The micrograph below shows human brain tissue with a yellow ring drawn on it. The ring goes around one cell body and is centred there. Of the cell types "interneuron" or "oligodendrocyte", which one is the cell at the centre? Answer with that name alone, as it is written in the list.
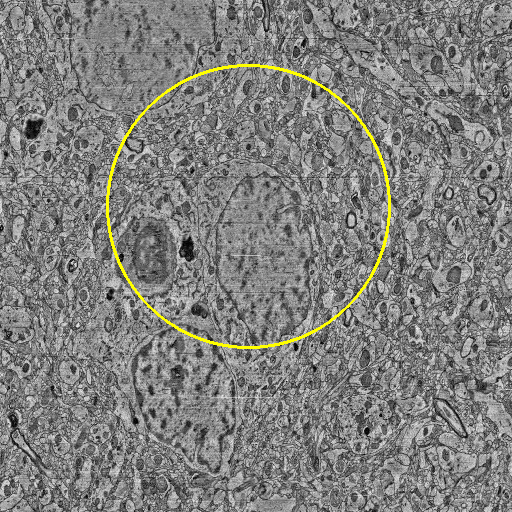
interneuron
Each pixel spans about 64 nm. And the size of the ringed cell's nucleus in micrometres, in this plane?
About 11 by 6 micrometres in this plane; clearly longer than it is wide.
